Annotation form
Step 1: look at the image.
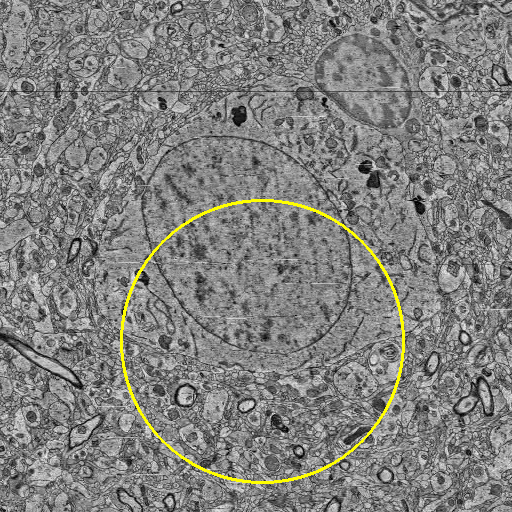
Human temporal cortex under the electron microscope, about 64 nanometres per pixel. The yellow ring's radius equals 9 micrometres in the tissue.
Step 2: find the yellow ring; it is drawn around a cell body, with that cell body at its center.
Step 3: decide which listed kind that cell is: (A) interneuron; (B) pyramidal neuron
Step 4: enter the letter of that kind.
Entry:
B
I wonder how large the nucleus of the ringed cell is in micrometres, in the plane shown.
In this plane, approximately 16 by 12 micrometers.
